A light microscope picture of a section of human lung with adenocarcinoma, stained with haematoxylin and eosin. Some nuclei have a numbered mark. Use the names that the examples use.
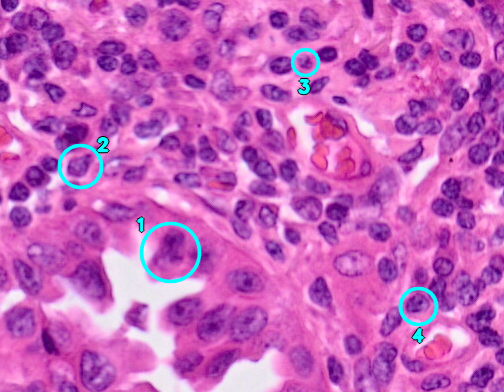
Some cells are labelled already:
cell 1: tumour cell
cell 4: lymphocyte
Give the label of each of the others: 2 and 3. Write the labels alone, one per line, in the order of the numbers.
lymphocyte
lymphocyte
